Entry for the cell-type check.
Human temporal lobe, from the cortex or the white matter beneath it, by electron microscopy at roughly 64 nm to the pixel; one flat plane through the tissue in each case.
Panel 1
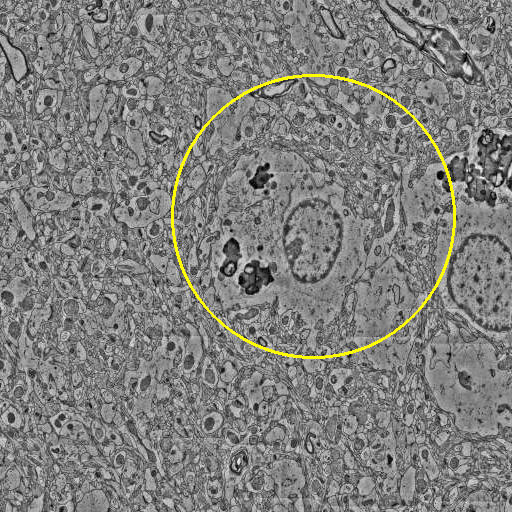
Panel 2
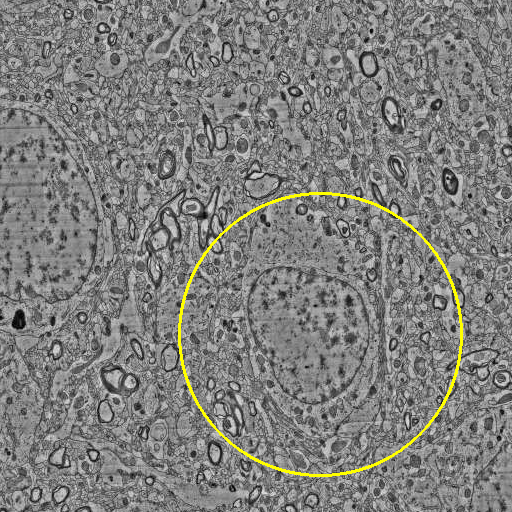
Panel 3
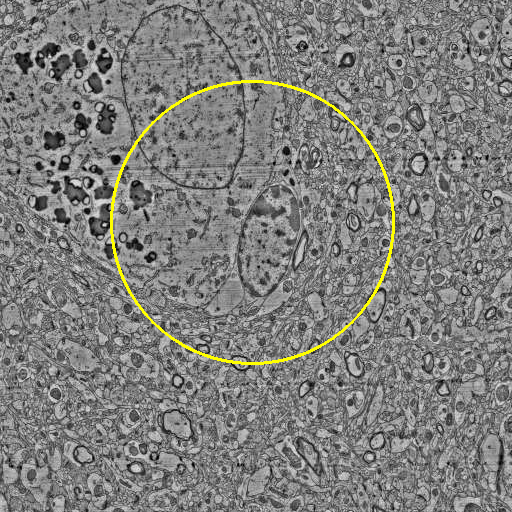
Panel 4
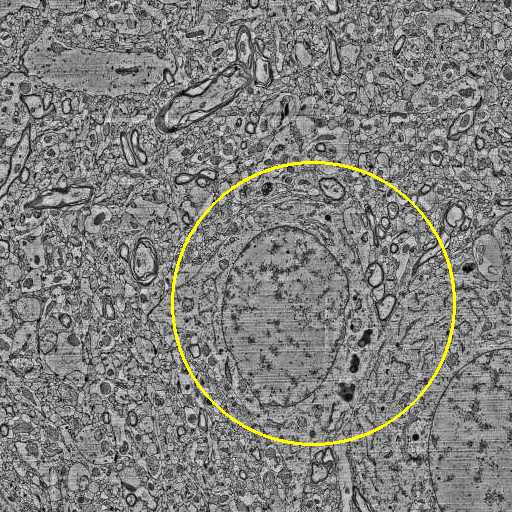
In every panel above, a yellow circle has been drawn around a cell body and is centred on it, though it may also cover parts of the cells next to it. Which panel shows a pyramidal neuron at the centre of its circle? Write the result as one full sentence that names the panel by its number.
Panel 4 shows it at the centre of its circle.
